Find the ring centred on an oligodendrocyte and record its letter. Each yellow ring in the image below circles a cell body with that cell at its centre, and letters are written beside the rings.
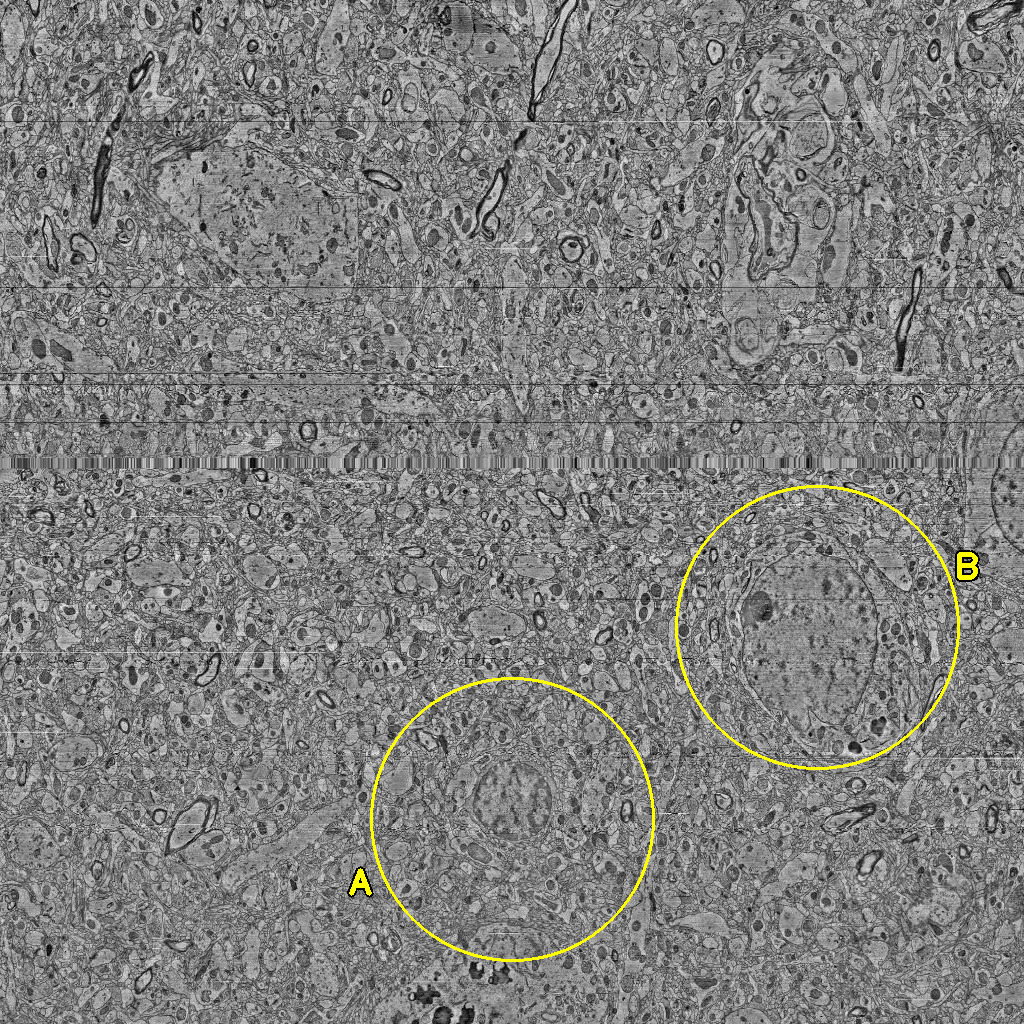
A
